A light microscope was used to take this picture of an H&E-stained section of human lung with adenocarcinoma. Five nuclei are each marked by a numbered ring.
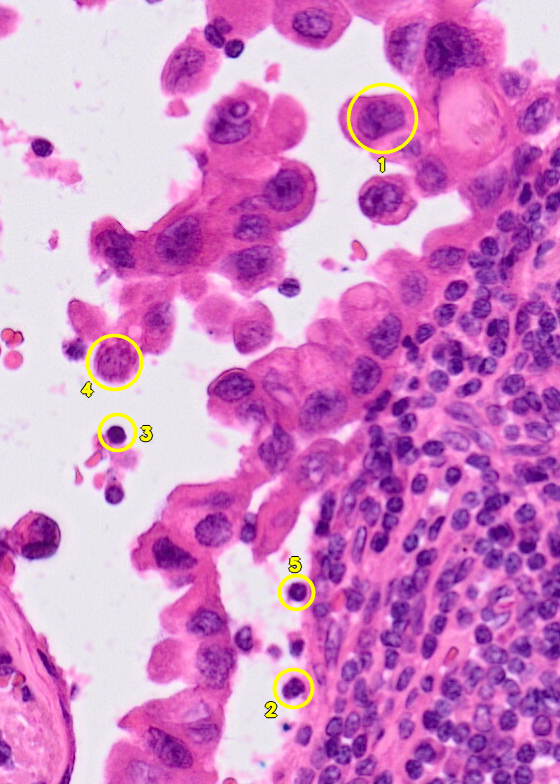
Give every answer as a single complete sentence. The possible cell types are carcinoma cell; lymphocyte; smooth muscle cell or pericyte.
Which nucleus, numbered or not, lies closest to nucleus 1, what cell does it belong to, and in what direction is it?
The nearest one is a carcinoma cell, found below and to the right of nucleus 1.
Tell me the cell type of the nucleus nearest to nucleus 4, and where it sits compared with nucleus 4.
Just to the left of nucleus 4 lies the nearest nucleus, which belongs to a lymphocyte.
